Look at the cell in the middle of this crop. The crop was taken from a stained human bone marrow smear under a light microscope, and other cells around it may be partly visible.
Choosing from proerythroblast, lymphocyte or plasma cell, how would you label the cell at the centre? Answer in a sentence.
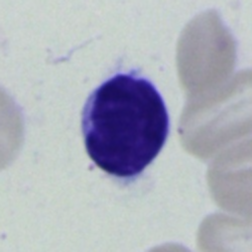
The centrally positioned cell in the crop represents a lymphocyte.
